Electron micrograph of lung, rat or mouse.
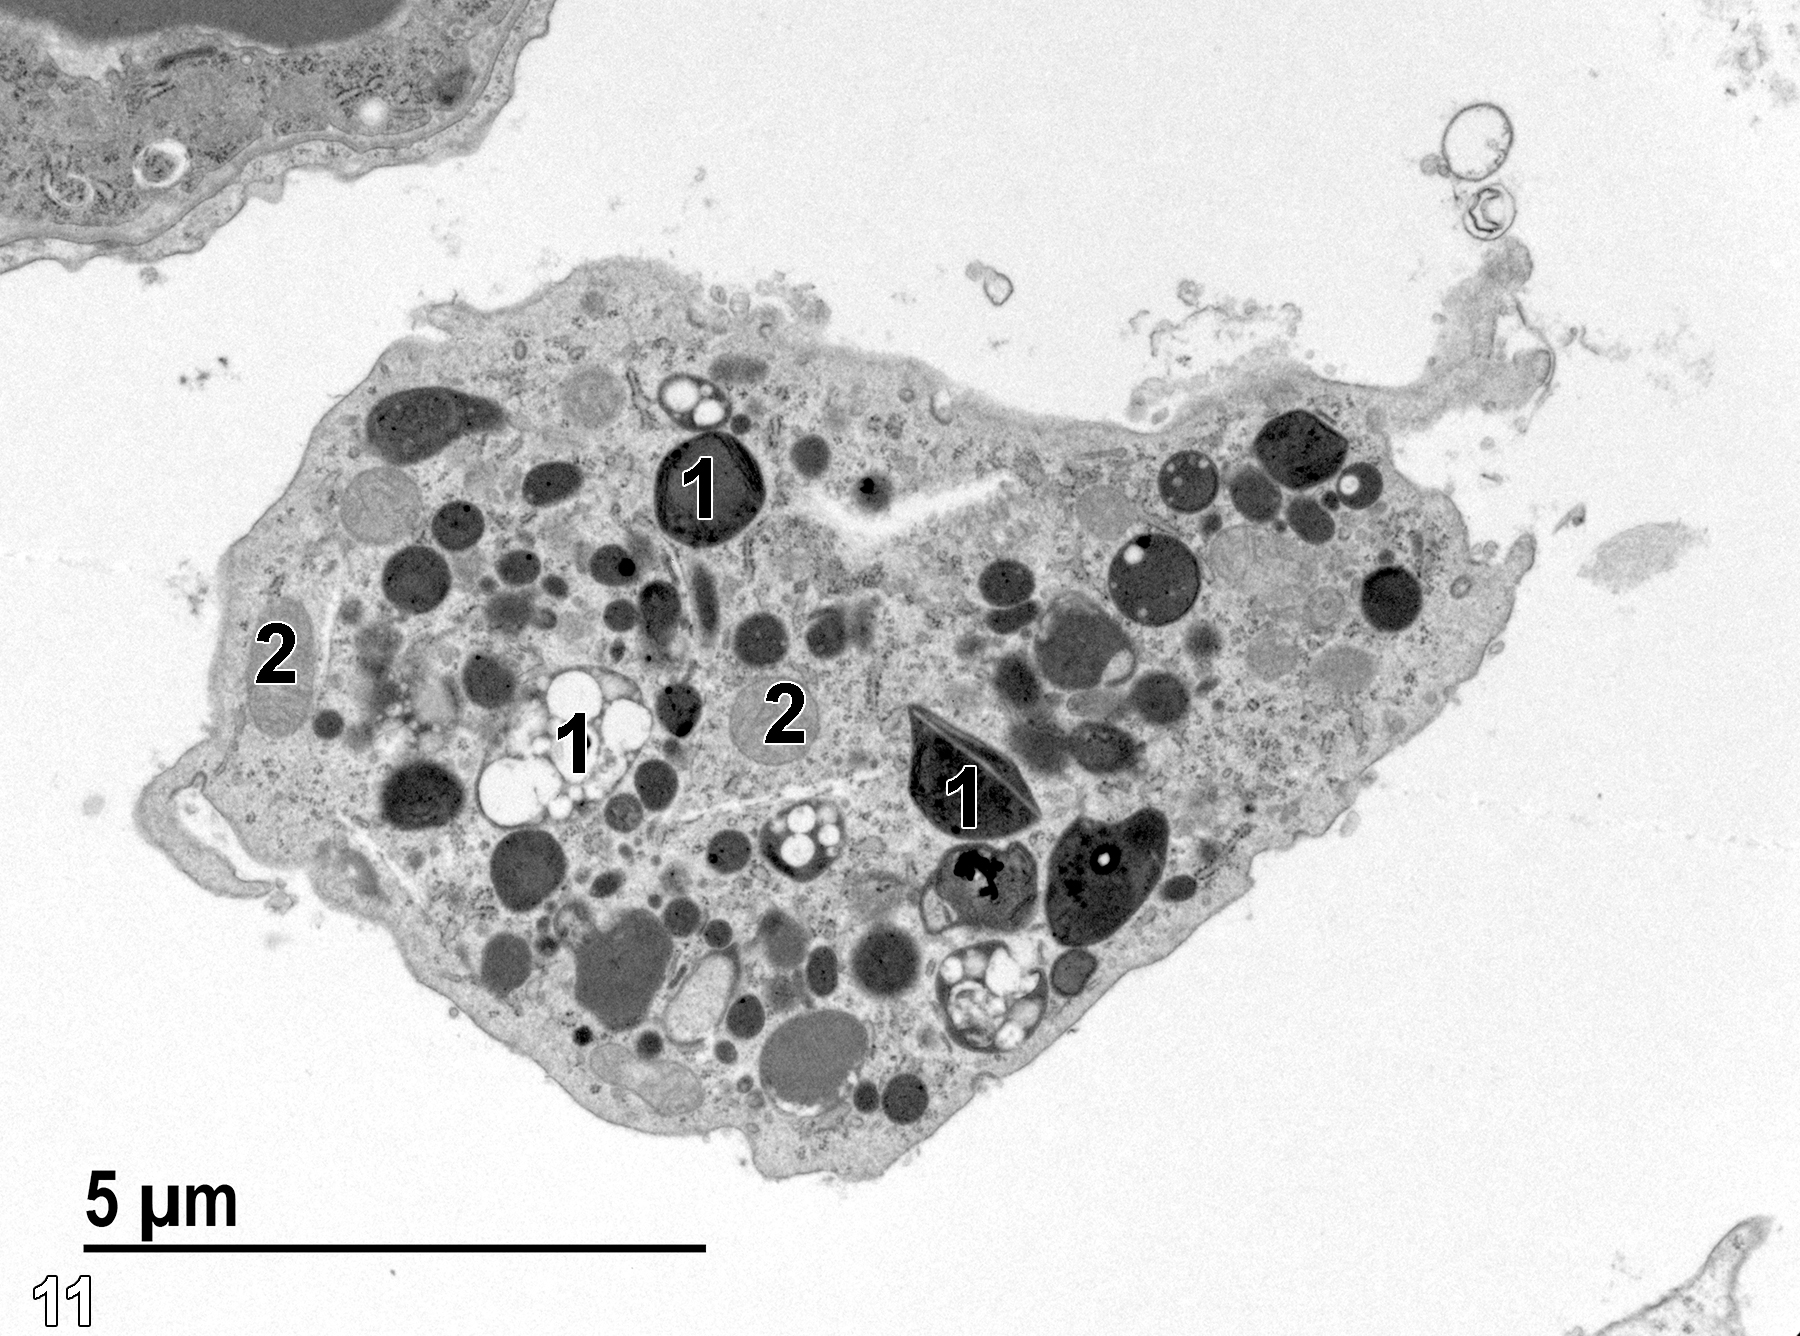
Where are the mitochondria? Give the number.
2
